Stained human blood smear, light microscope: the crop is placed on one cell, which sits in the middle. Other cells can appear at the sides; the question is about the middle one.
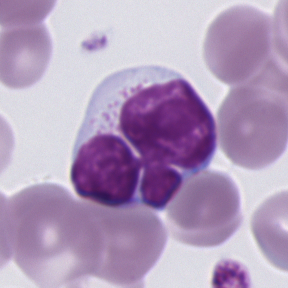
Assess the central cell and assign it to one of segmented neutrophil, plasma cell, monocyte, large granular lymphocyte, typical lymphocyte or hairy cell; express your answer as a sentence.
The cell featured at the centre of this crop is a large granular lymphocyte.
